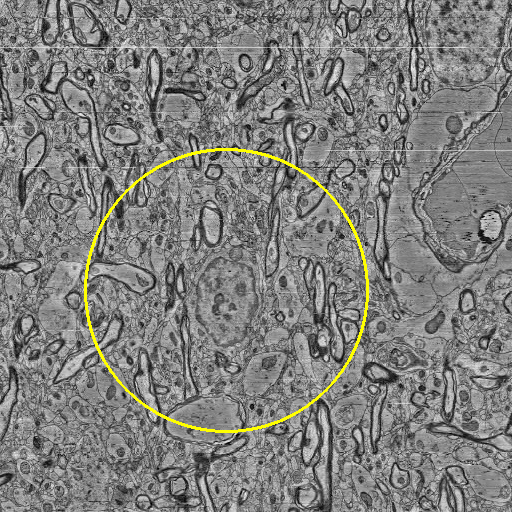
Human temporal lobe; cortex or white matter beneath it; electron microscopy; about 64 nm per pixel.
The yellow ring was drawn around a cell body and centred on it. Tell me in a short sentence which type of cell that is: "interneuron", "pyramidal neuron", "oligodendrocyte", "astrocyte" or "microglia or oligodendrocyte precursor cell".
The cell at the ring's centre is an oligodendrocyte.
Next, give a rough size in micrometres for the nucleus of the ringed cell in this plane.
About 6 by 4 micrometers, in this plane.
